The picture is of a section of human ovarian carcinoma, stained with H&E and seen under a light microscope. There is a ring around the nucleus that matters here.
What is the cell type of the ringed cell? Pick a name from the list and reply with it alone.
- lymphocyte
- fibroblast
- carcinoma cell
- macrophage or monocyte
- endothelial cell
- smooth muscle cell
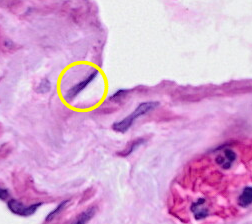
endothelial cell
